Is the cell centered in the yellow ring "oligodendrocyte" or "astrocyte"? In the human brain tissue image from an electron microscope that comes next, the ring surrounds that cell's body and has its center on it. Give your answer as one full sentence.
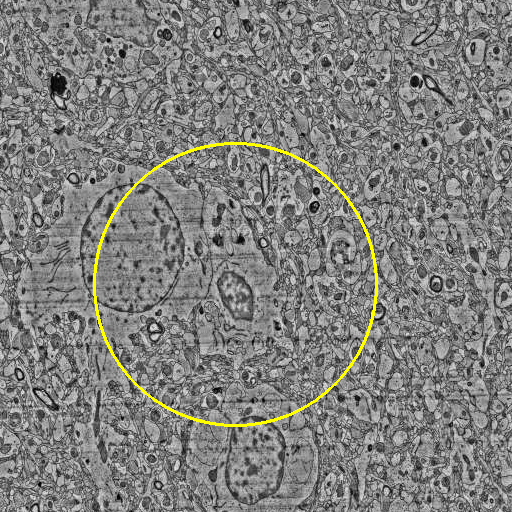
The cell at the center of the yellow ring is an astrocyte in the micrograph.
